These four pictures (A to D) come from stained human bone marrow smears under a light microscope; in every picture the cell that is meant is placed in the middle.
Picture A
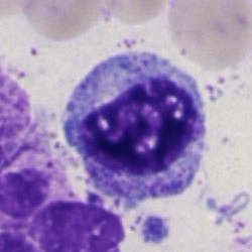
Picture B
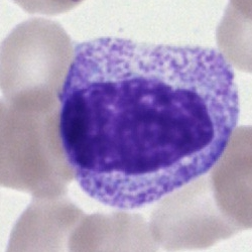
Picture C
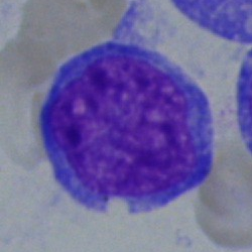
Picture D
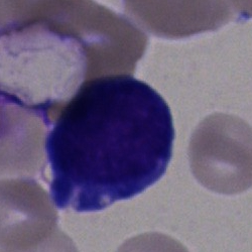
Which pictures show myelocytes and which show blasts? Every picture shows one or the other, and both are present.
A: myelocyte
B: myelocyte
C: blast
D: blast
